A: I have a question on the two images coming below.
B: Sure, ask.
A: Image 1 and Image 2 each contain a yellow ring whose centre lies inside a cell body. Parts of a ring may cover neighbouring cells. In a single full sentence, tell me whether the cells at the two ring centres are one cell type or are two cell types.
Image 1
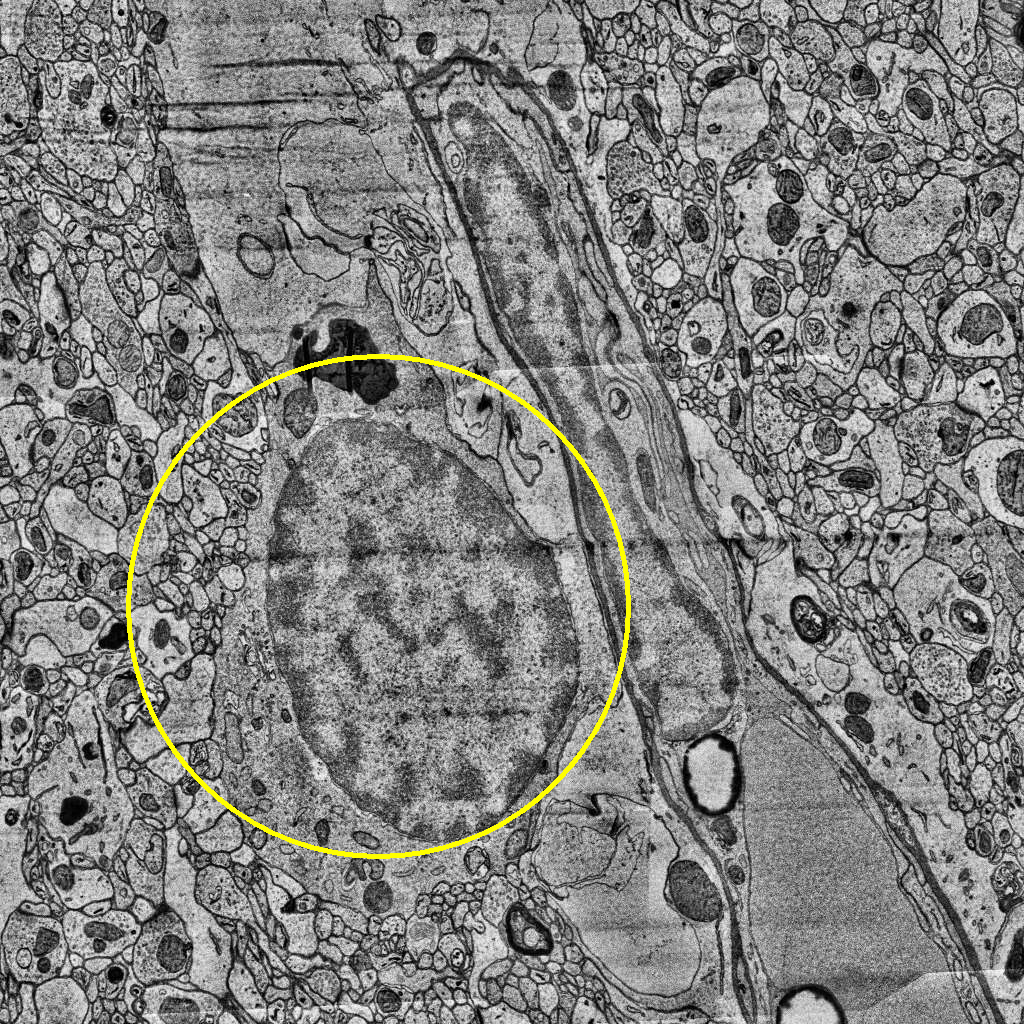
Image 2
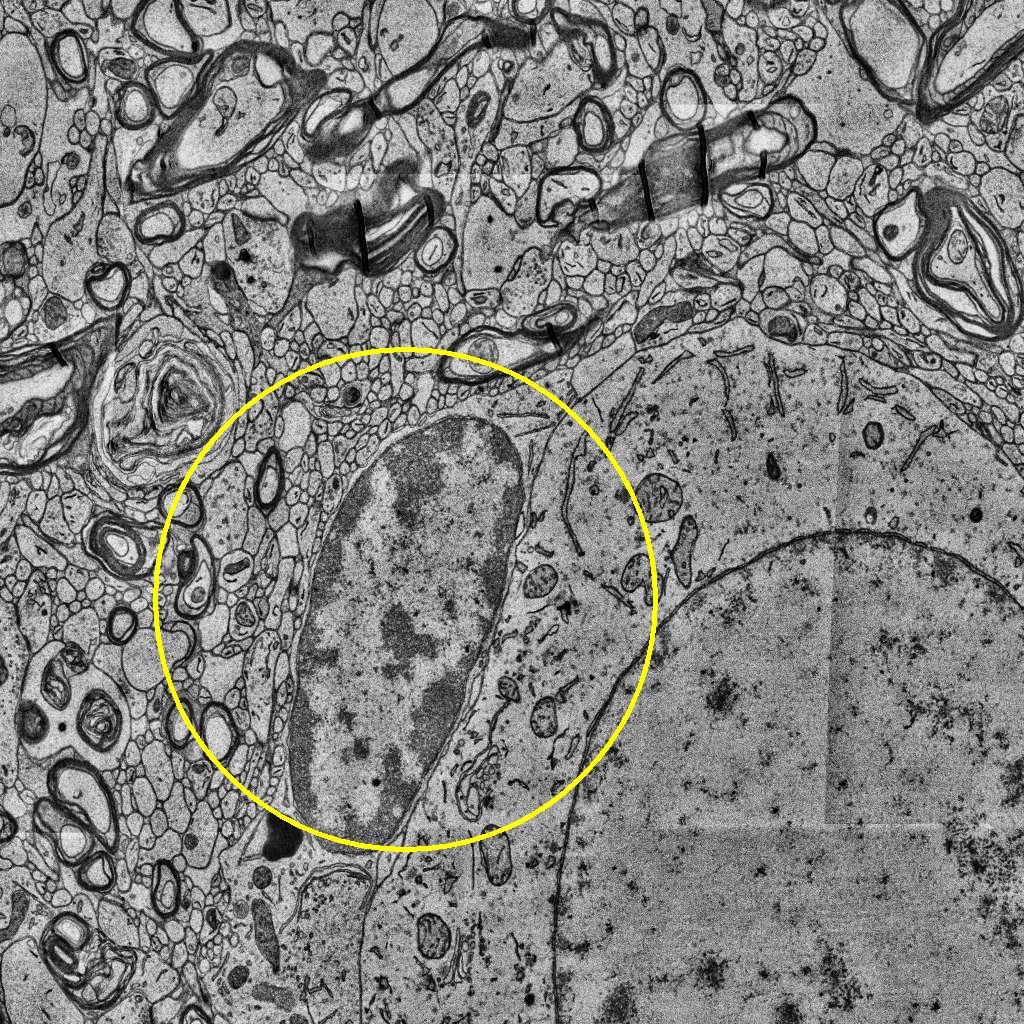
As for the ring-centre cells, the one in Image 1 and the one in Image 2 are two cell types.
